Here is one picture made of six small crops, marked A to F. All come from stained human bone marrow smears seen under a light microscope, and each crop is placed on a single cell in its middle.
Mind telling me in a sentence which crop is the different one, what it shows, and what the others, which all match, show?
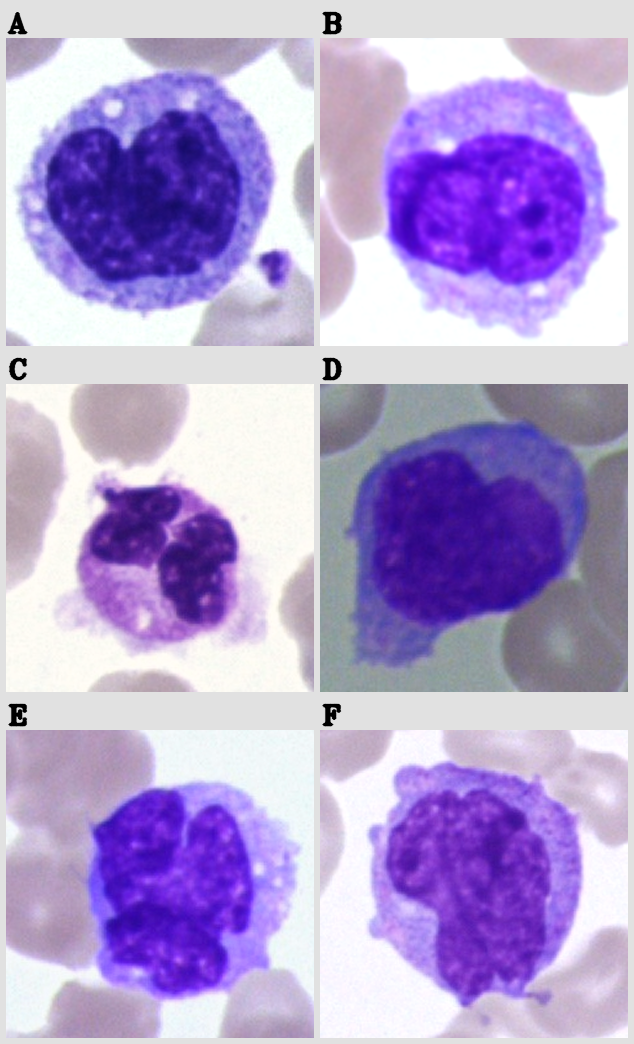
As the exception to the monocytes in the other crops, crop C shows a neutrophil.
